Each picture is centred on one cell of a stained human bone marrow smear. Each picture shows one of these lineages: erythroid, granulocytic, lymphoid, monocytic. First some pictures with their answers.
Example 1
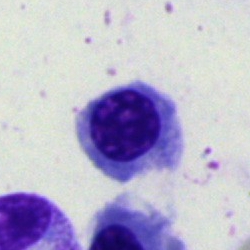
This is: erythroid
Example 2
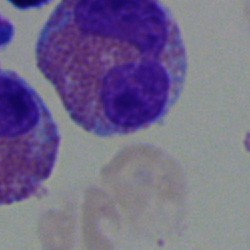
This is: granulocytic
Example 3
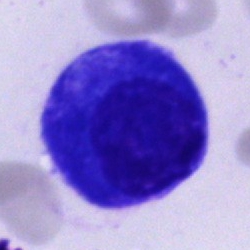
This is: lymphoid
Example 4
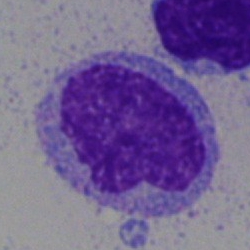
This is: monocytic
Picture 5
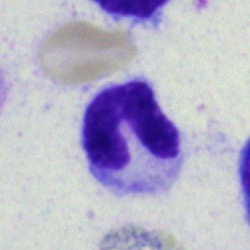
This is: granulocytic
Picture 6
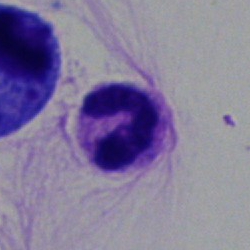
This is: granulocytic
